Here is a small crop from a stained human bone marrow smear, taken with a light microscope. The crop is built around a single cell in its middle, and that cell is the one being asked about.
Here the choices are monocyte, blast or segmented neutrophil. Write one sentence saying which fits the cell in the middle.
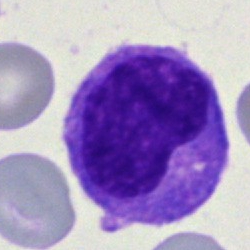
Centrally within this crop lies a monocyte.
